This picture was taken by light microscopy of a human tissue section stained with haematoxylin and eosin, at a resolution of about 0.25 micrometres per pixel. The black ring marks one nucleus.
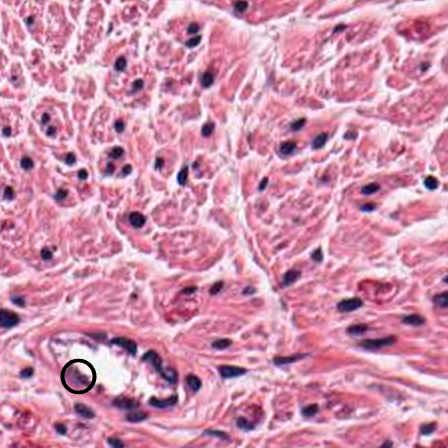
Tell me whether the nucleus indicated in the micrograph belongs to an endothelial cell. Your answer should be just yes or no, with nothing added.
yes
